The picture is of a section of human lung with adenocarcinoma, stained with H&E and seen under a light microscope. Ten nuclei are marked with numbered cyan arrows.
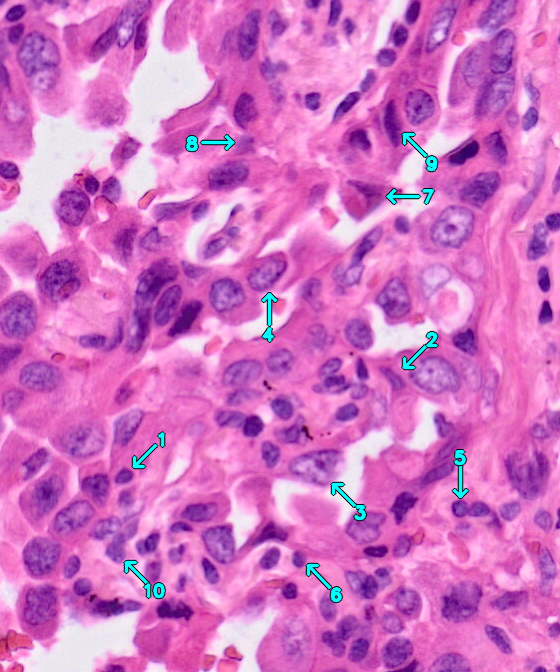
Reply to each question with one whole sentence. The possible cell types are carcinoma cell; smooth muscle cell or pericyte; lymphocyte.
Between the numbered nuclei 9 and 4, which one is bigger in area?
Nucleus 4 covers more area, about 1.5 times as much as nucleus 9.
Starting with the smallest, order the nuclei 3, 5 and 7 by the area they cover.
By area, going up from the smallest, they rank 5, 7, 3.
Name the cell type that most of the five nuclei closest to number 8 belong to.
Carcinoma cells account for more than half of the five nuclei nearest to number 8.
